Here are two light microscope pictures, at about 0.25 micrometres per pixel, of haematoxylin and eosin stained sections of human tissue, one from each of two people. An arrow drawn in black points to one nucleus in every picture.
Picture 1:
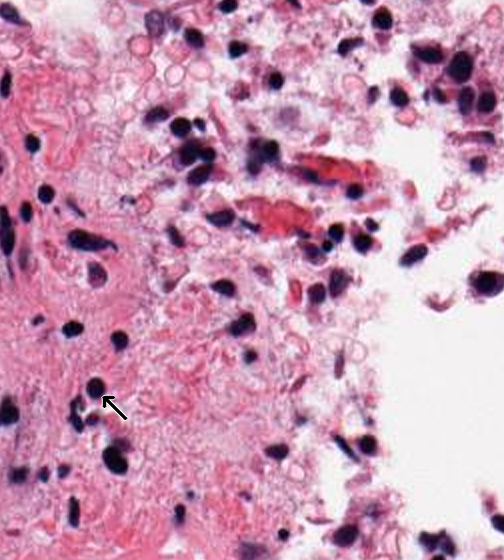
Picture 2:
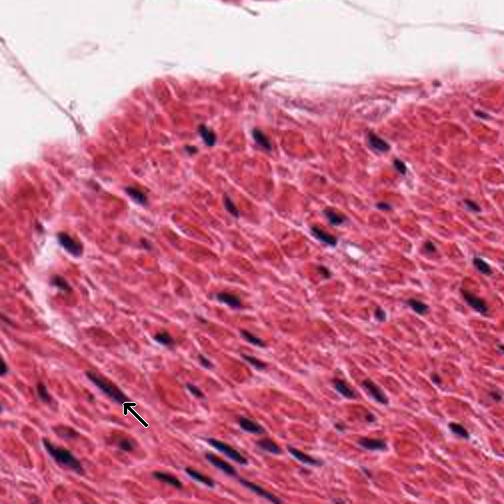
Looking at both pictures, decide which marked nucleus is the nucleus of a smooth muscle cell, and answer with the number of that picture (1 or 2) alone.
2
